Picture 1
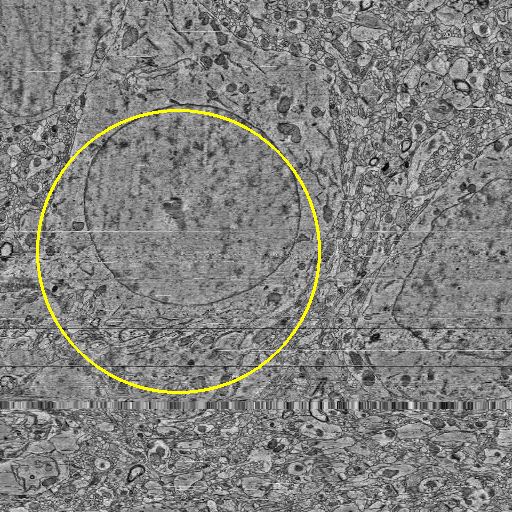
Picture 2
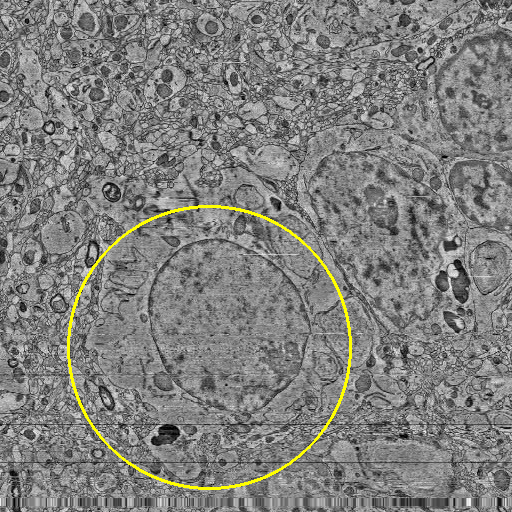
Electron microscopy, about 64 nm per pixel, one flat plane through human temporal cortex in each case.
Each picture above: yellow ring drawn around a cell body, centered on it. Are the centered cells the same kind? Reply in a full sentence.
No, the two cells are two kinds of cell.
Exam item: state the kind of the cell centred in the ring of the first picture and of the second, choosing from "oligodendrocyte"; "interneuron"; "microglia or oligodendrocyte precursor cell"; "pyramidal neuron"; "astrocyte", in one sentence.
The first picture shows a pyramidal neuron at the ring centre and the second shows an astrocyte.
